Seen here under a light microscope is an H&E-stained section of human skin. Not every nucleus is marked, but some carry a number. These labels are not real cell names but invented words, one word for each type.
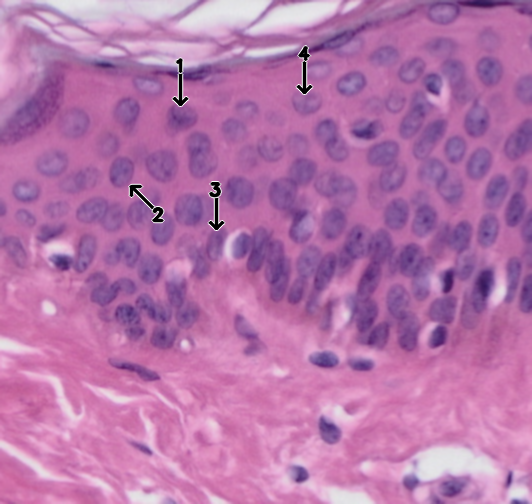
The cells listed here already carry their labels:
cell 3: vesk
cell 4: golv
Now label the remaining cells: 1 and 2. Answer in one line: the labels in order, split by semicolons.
golv; golv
